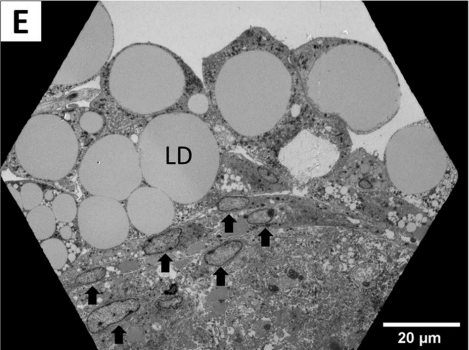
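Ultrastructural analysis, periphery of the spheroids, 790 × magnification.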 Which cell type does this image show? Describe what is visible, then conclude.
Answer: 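Cells filled by large round homogeneous grey droplets. Each droplet pushes a thin rim of cytoplasm to the cell edge. So: Adipocytes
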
